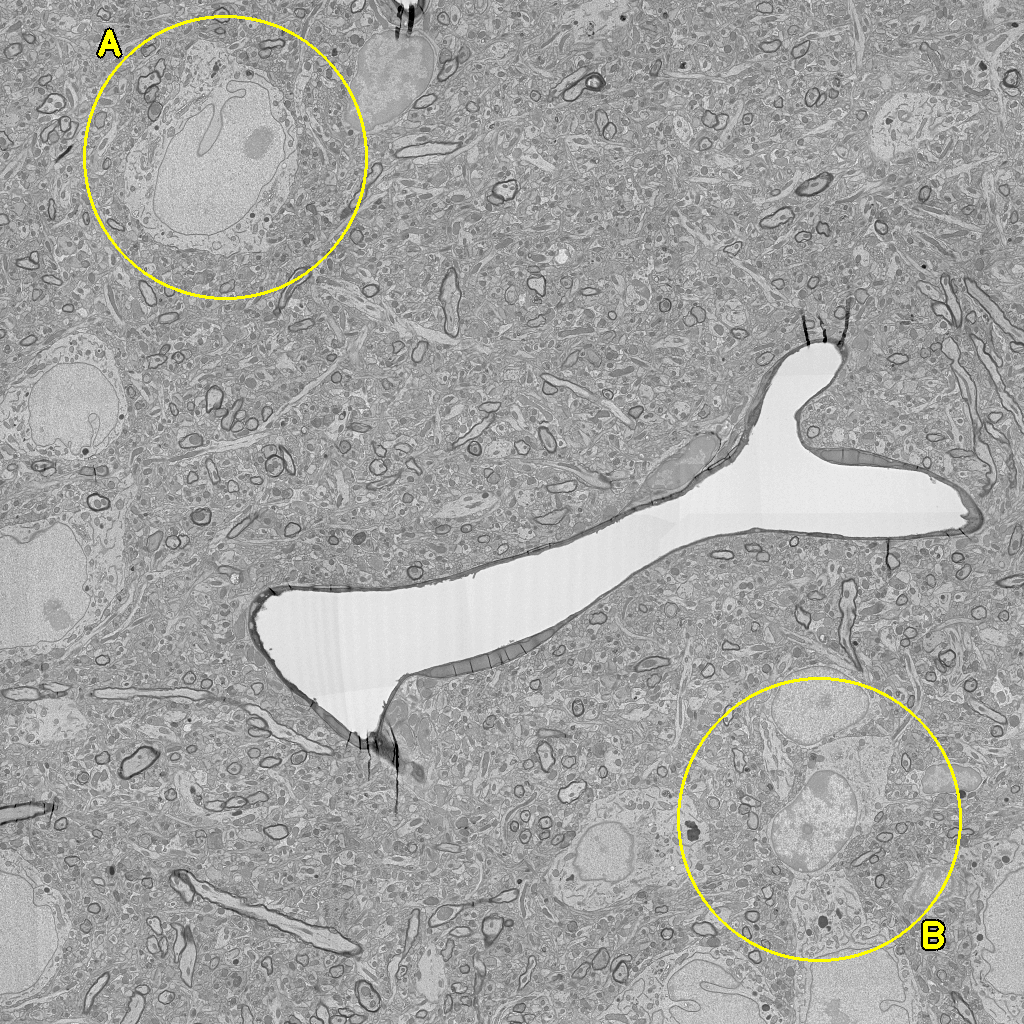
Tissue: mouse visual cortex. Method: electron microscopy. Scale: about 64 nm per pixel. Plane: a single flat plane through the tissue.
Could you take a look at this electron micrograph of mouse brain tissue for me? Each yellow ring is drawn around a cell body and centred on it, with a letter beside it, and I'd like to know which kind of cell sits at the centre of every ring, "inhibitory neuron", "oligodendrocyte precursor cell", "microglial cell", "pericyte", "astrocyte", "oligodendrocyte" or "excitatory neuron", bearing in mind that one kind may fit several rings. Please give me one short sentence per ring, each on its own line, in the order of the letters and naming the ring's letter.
Ring A is centred on an excitatory neuron.
Ring B is centred on an oligodendrocyte.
